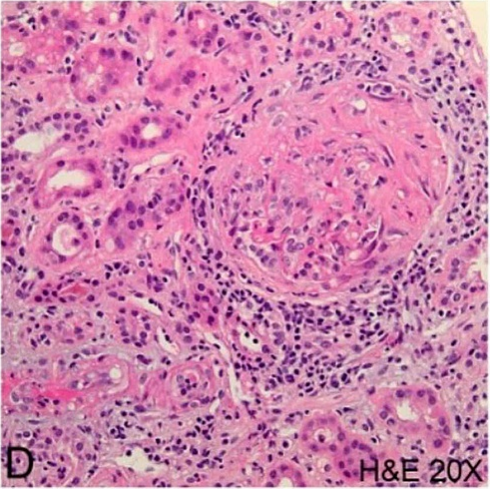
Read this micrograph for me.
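This is renal cortex with a glomerulus whose urinary space is filled by a crescent. The round glomerulus is occupied by layered, concentrically arranged pink tissue with scattered elongated and plump nuclei, and the capillary tuft is compressed and hardly recognisable. A dense cuff of small, dark, round inflammatory nuclei surrounds the glomerulus and spreads into the interstitium. Around it lie tubules lined by cuboidal cells with pink cytoplasm and round nuclei; several have irregular, flattened or detached lining and widened lumina. Small capillaries with red blood cells run between the tubules.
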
